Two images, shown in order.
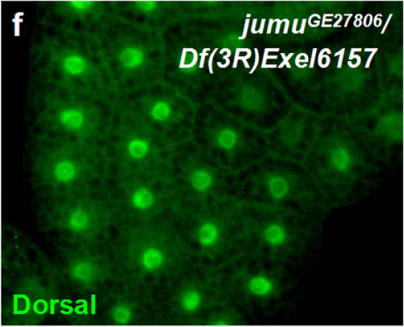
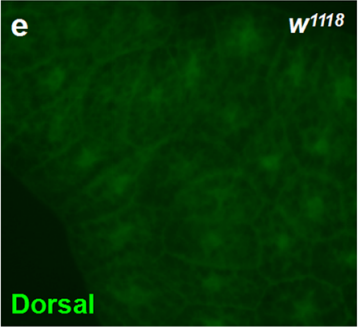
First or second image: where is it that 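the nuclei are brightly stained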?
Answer: The first image.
